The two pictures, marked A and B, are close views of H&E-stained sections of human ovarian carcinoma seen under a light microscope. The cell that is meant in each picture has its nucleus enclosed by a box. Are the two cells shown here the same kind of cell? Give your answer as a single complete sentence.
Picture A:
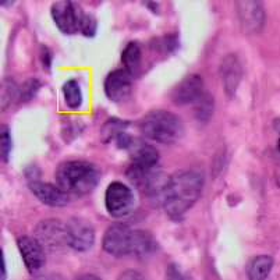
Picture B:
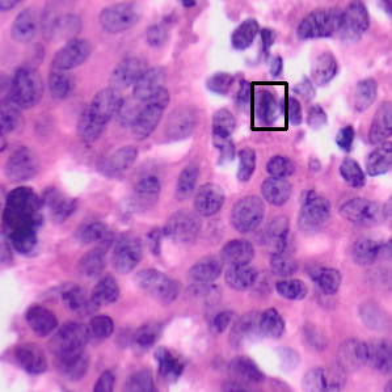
Yes; the cells in both pictures are carcinoma cells.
